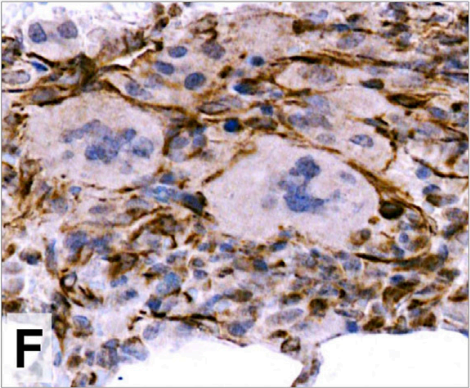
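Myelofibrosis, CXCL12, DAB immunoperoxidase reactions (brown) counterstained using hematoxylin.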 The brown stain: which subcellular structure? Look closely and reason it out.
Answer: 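Elongated cell processes. Brown-stained slender elongated strands run between cells. The brown strands hug the borders of large pale cells.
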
